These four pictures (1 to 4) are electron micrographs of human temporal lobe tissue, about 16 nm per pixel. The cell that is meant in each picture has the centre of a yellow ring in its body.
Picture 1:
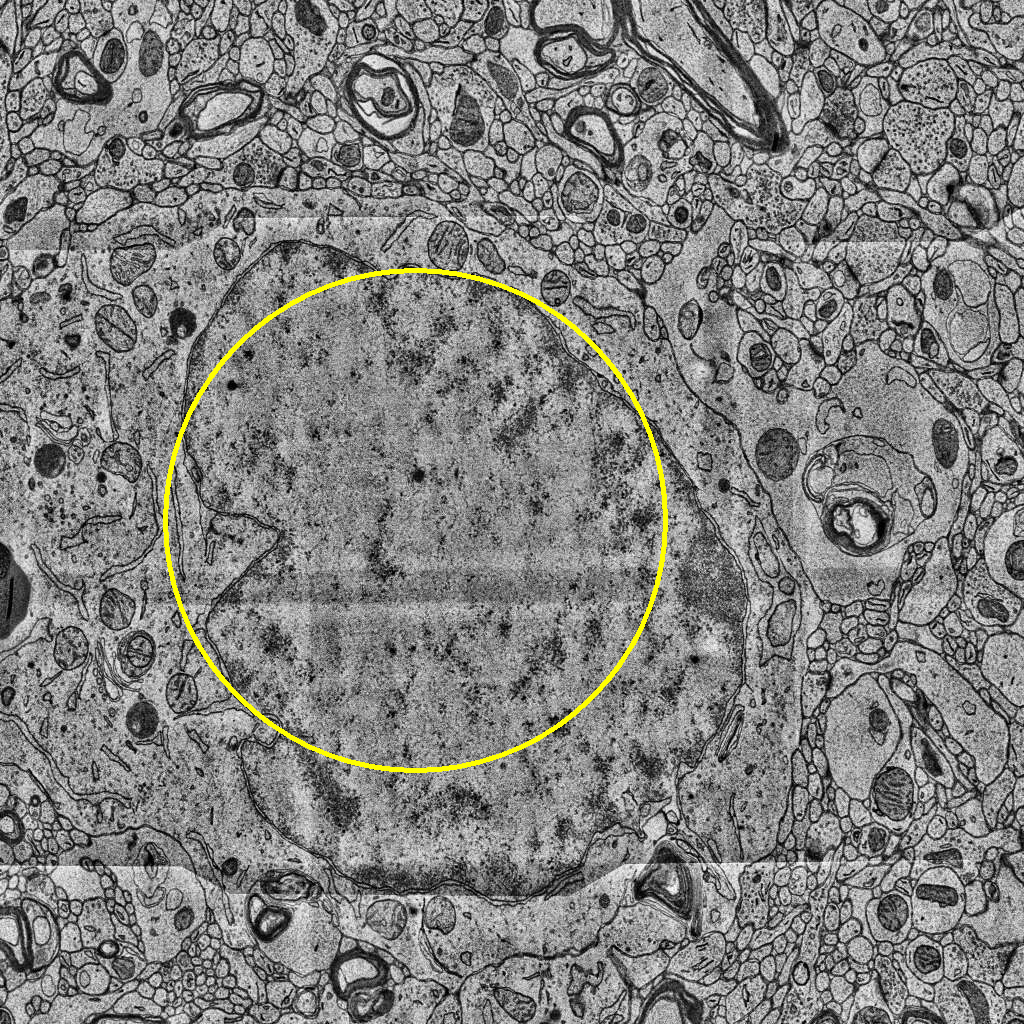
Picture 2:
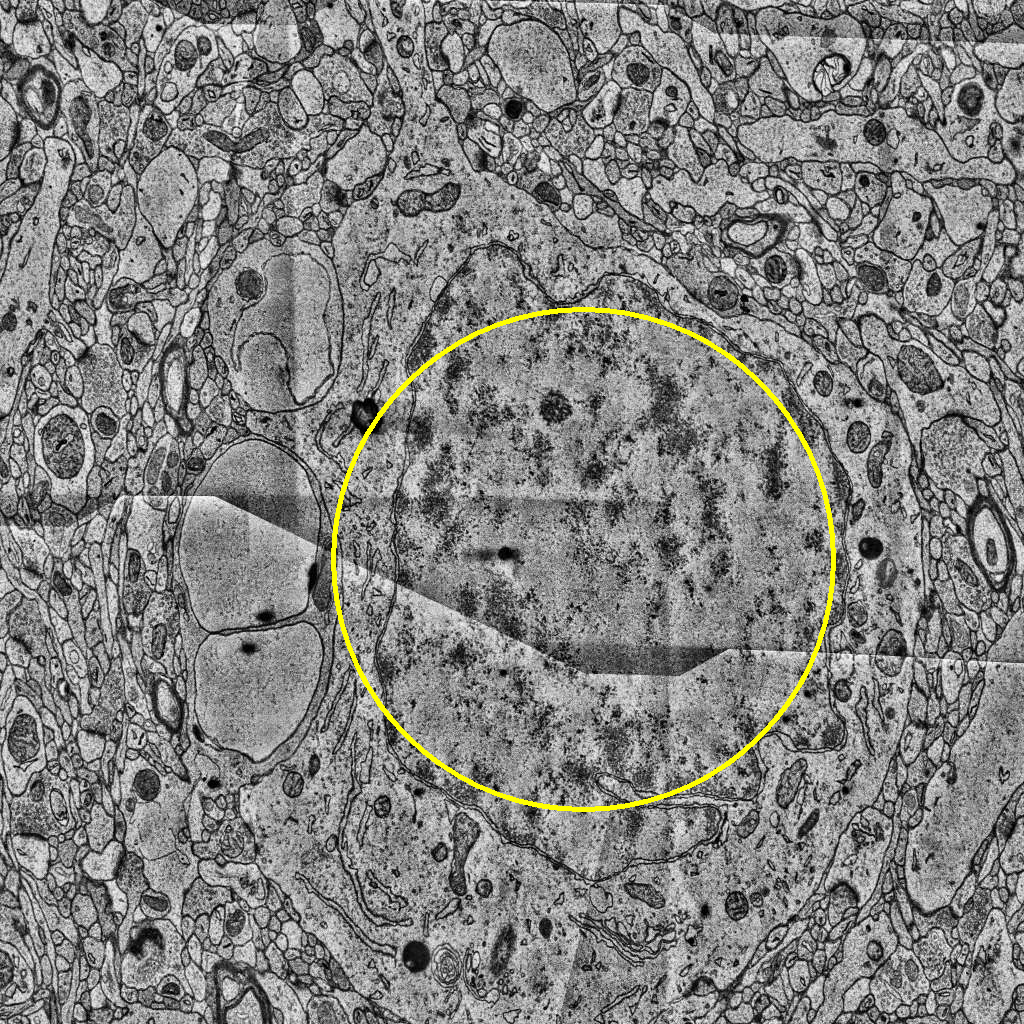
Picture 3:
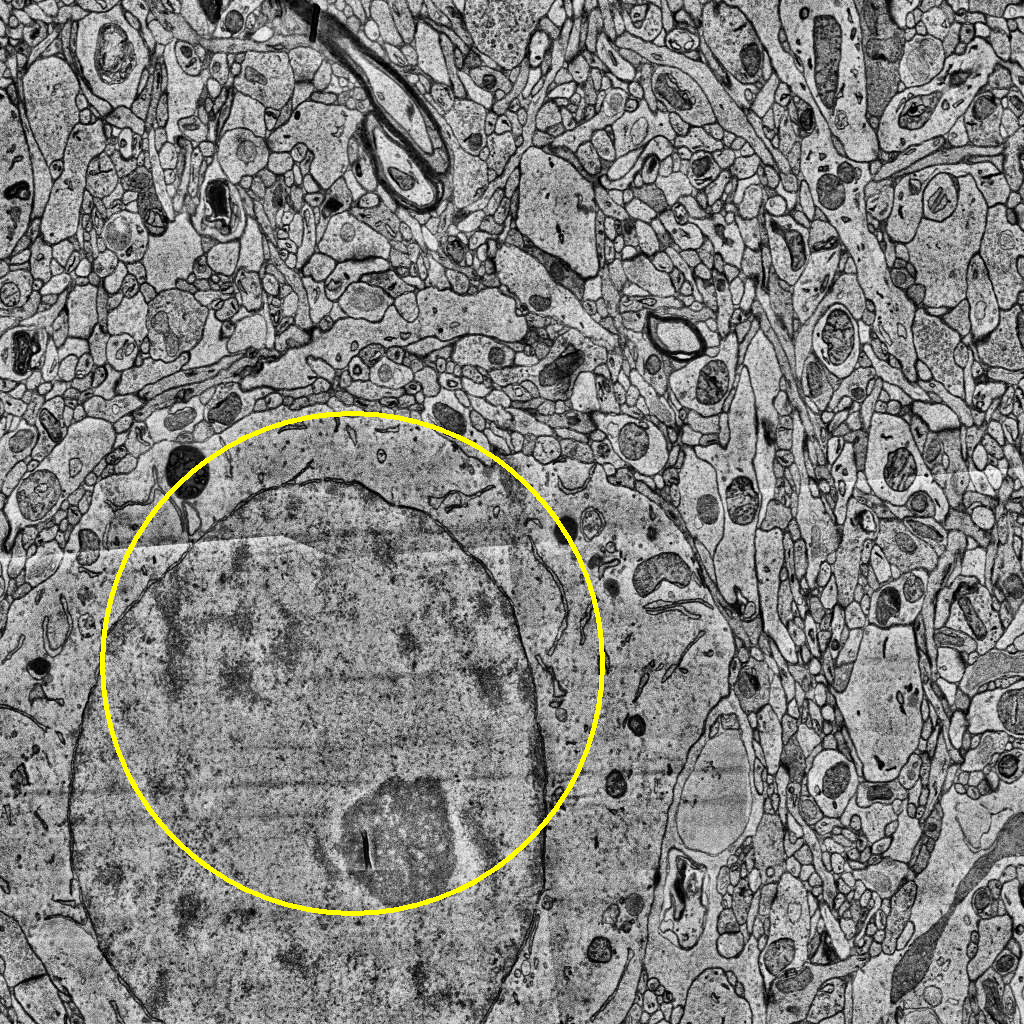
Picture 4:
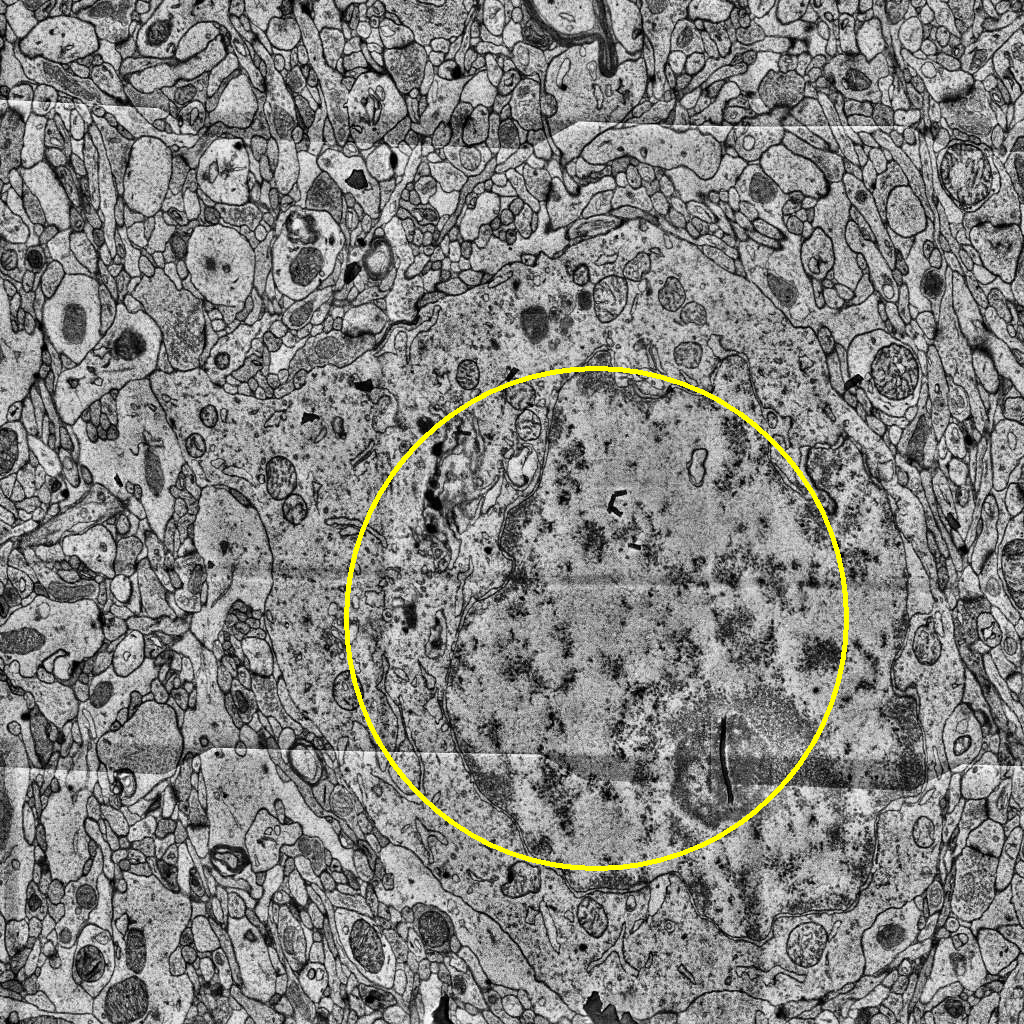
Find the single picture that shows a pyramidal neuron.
It is picture 3 that shows the pyramidal neuron.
